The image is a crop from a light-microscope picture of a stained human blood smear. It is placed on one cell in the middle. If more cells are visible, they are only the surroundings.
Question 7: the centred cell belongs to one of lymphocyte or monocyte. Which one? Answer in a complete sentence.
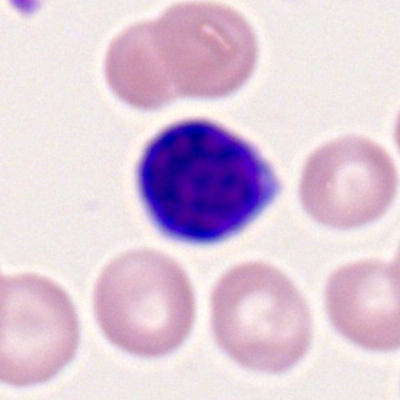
On this slide crop, the central cell is a lymphocyte.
